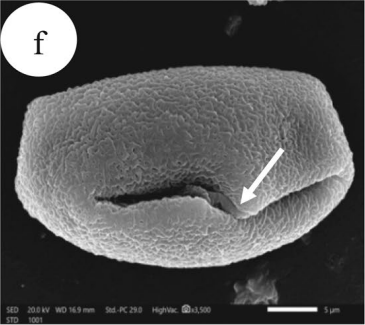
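A single elongated pollen grain seen from the side, with a long slit-like aperture running across its middle. Near one end of the slit its margins are joined by a narrow strip of wall that spans the opening. The surface of the wall is covered by fine, wavy, wrinkled ridges.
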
